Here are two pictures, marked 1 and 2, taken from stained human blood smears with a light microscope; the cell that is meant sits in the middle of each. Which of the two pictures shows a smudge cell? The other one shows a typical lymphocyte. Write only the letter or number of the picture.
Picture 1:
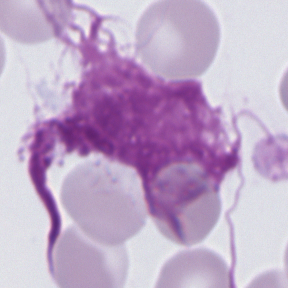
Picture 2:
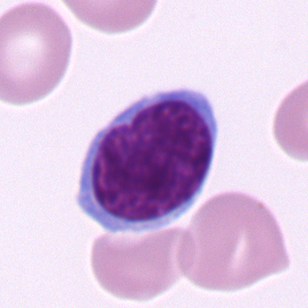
1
